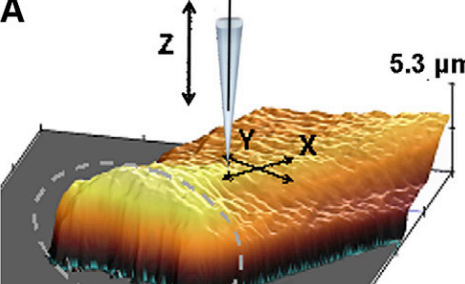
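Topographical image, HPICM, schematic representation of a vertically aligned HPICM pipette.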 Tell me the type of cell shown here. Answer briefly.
Cardiomyocyte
